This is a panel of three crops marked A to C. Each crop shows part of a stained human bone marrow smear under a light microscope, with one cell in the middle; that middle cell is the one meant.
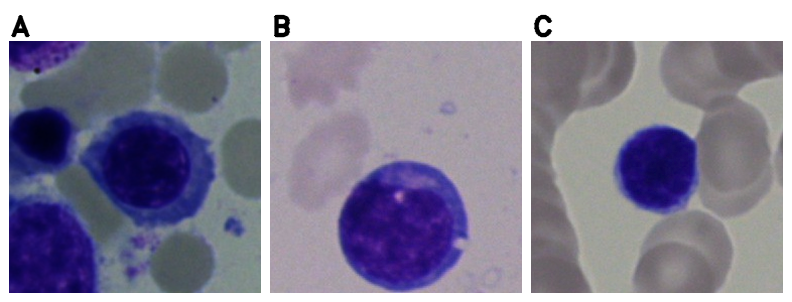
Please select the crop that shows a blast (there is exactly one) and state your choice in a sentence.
Crop B represents a blast, while the other crops do not.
